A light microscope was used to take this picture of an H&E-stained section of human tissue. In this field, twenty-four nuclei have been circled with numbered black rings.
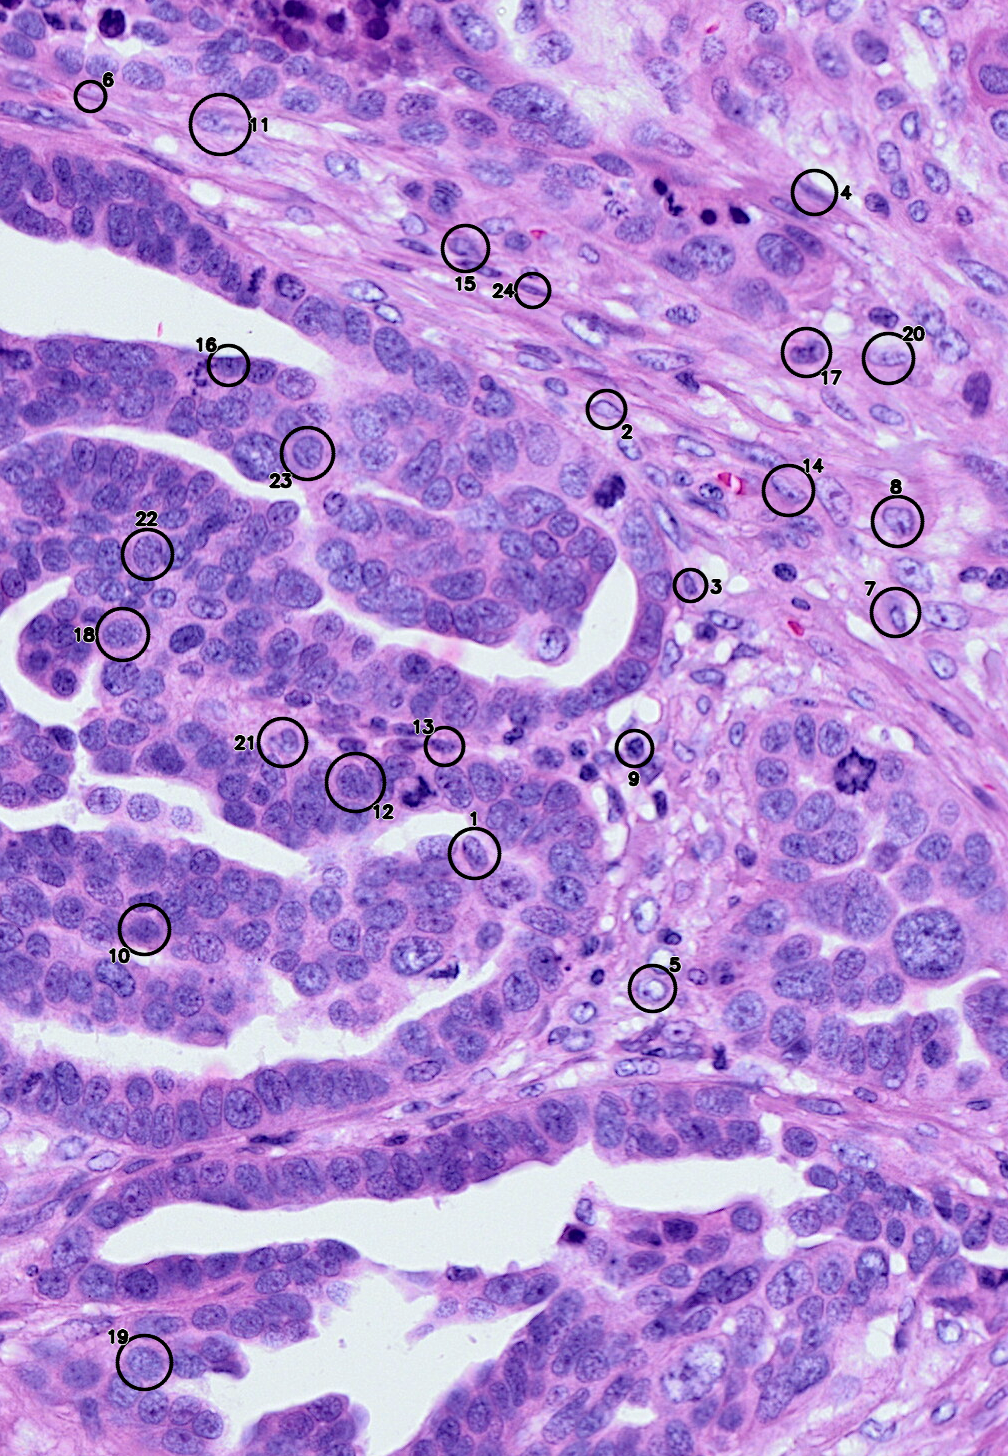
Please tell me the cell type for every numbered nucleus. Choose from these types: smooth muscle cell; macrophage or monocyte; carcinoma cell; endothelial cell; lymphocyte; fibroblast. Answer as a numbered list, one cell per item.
1. macrophage or monocyte
2. fibroblast
3. macrophage or monocyte
4. fibroblast
5. fibroblast
6. fibroblast
7. fibroblast
8. fibroblast
9. lymphocyte
10. carcinoma cell
11. fibroblast
12. carcinoma cell
13. macrophage or monocyte
14. fibroblast
15. fibroblast
16. carcinoma cell
17. macrophage or monocyte
18. carcinoma cell
19. carcinoma cell
20. fibroblast
21. macrophage or monocyte
22. carcinoma cell
23. carcinoma cell
24. fibroblast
